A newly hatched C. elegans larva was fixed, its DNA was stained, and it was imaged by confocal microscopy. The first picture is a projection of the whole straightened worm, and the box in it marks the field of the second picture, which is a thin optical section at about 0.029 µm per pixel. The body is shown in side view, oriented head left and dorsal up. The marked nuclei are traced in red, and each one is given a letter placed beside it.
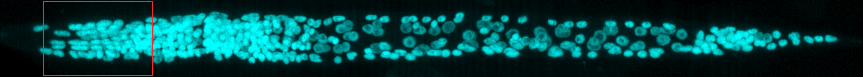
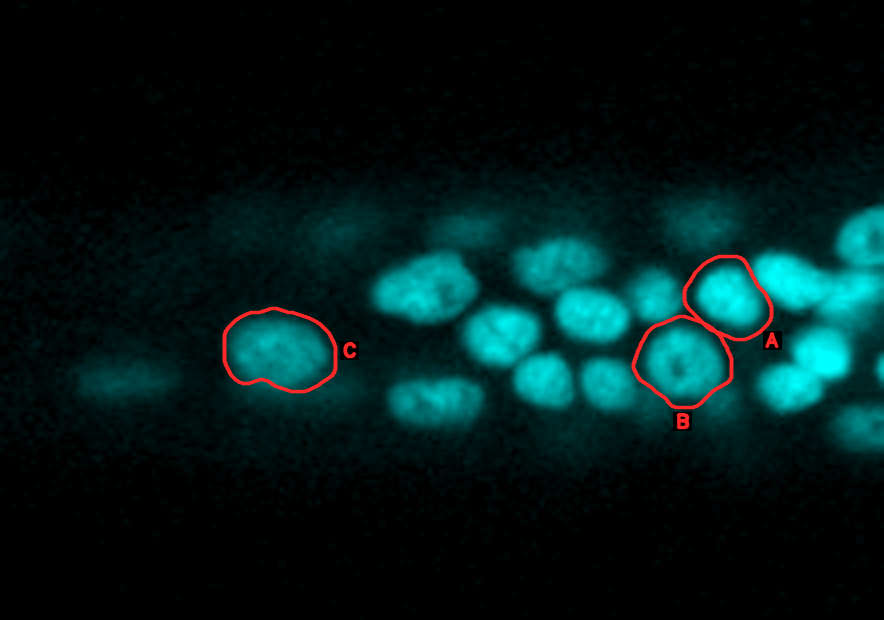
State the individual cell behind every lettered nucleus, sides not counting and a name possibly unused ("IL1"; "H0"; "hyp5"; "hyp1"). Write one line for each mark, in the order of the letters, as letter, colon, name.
A: hyp1
B: H0
C: hyp5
